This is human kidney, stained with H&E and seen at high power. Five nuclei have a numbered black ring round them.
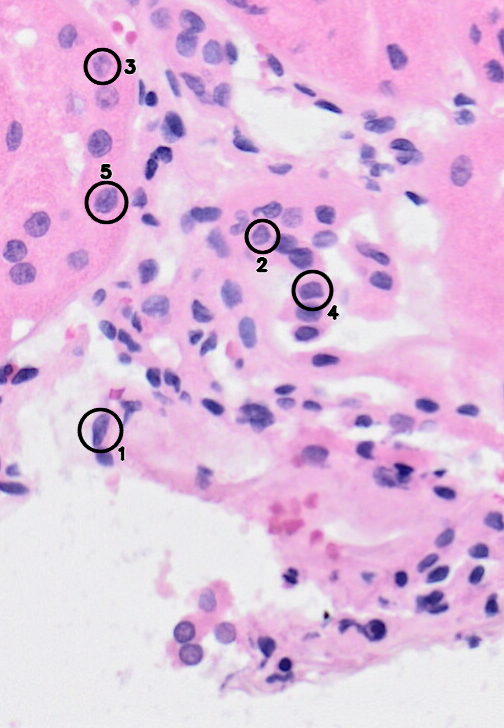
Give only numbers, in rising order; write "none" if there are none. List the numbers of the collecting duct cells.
2, 4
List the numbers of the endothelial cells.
1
